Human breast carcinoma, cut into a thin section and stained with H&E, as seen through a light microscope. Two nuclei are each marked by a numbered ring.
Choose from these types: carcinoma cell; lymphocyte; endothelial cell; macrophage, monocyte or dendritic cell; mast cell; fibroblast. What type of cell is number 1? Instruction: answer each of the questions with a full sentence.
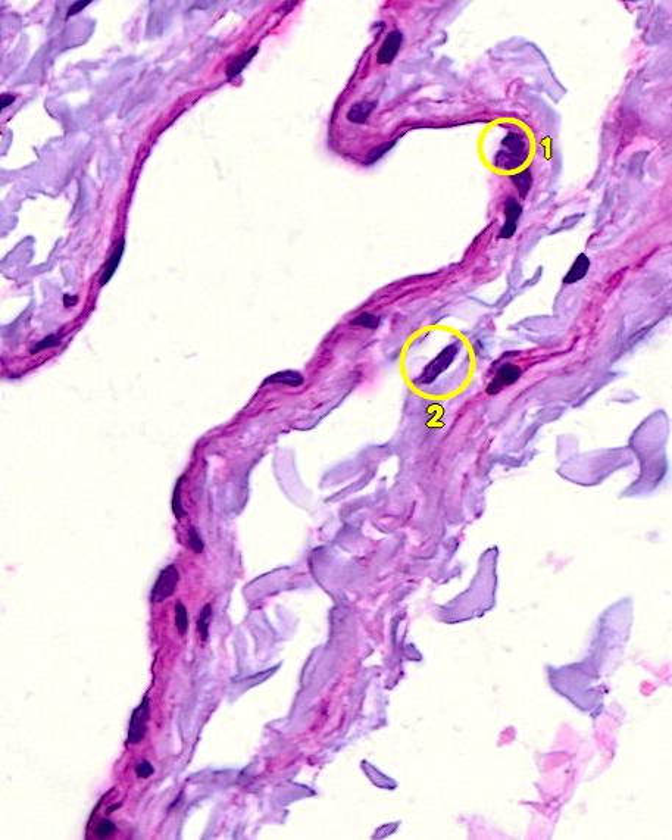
What the number 1 marks in this field is an endothelial cell.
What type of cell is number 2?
Corresponding to a fibroblast is the cell labelled 2.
